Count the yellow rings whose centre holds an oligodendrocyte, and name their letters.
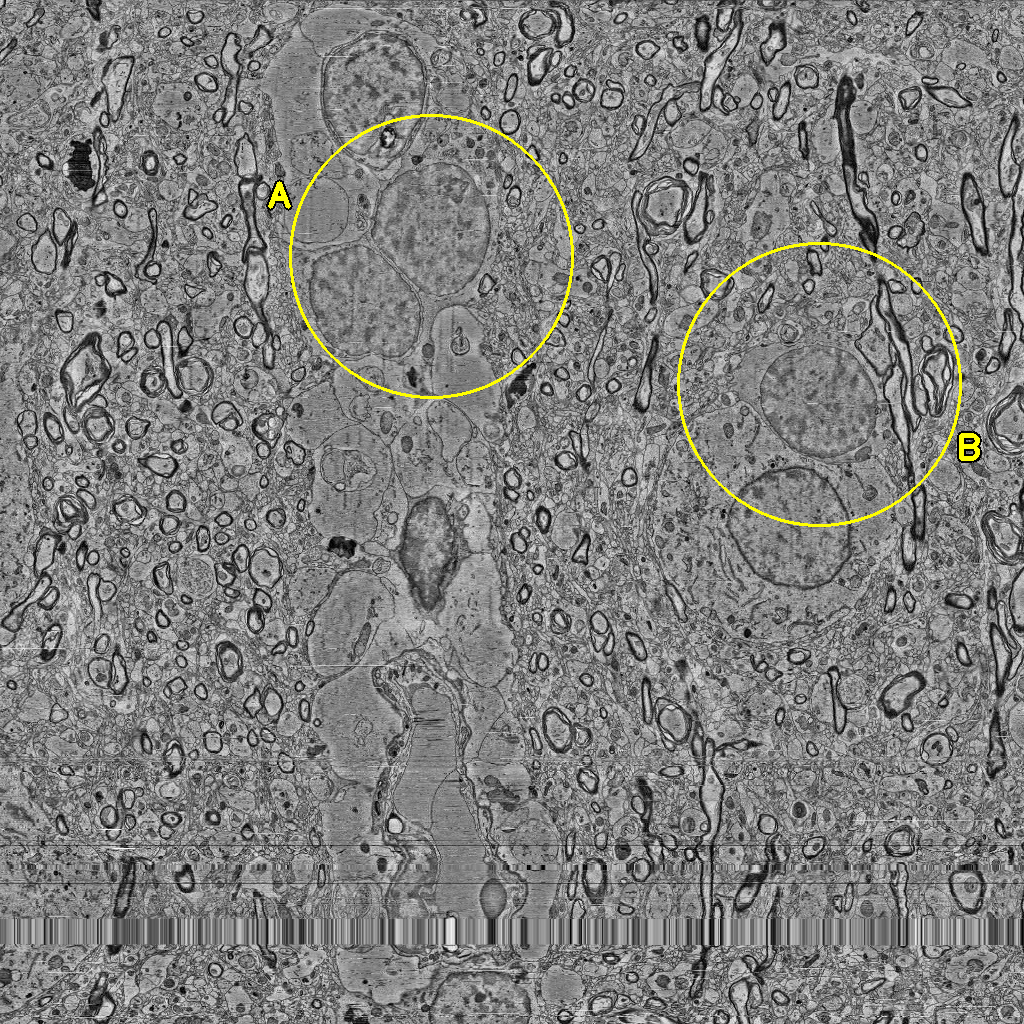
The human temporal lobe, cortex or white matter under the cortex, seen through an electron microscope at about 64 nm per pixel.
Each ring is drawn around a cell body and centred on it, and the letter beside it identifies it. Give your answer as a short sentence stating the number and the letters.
Identified by the letters A and B, two rings are each centred on an oligodendrocyte.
